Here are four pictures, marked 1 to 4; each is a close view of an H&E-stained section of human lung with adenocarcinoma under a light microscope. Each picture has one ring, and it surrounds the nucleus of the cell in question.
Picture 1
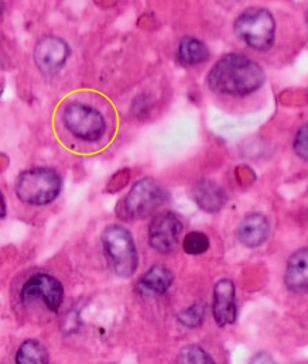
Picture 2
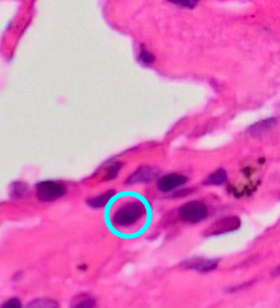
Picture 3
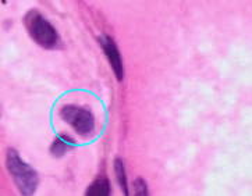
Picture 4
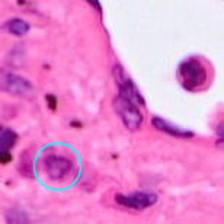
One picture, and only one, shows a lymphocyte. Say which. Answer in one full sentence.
The lymphocyte is the one in picture 3.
